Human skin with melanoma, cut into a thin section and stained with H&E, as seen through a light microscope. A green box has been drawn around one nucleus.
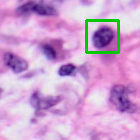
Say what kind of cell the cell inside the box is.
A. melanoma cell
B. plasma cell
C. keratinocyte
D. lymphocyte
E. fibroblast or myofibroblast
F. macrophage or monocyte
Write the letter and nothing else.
B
